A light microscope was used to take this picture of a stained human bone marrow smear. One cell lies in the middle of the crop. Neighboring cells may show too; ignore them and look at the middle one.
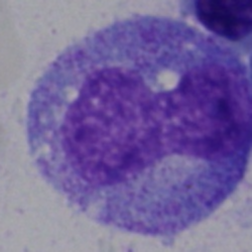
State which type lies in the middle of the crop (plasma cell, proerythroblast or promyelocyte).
promyelocyte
